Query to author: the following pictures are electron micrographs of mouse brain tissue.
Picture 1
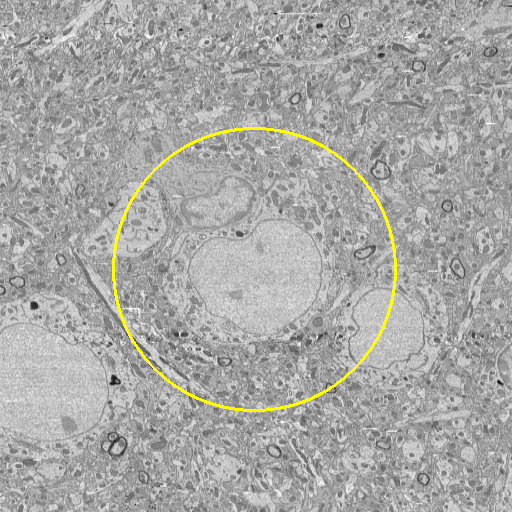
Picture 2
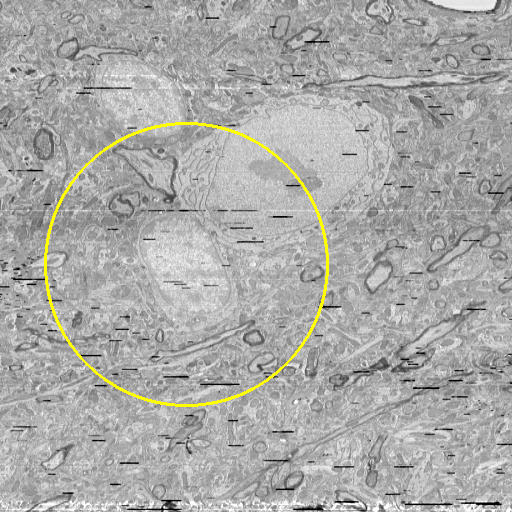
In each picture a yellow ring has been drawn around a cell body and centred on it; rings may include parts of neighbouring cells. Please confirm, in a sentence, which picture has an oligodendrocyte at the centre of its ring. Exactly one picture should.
Picture 2 has it at the centre of its ring.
